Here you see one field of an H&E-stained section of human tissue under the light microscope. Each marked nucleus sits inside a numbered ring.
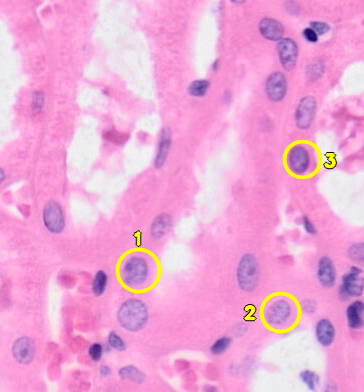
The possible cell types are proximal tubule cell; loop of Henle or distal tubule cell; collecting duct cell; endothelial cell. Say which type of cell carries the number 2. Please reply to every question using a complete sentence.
Recognised here as a loop of Henle or distal tubule cell is the cell numbered 2.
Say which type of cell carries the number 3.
Here, the cell given the number 3 is a proximal tubule cell.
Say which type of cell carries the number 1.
Within this field of view, the cell labelled 1 is a proximal tubule cell.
